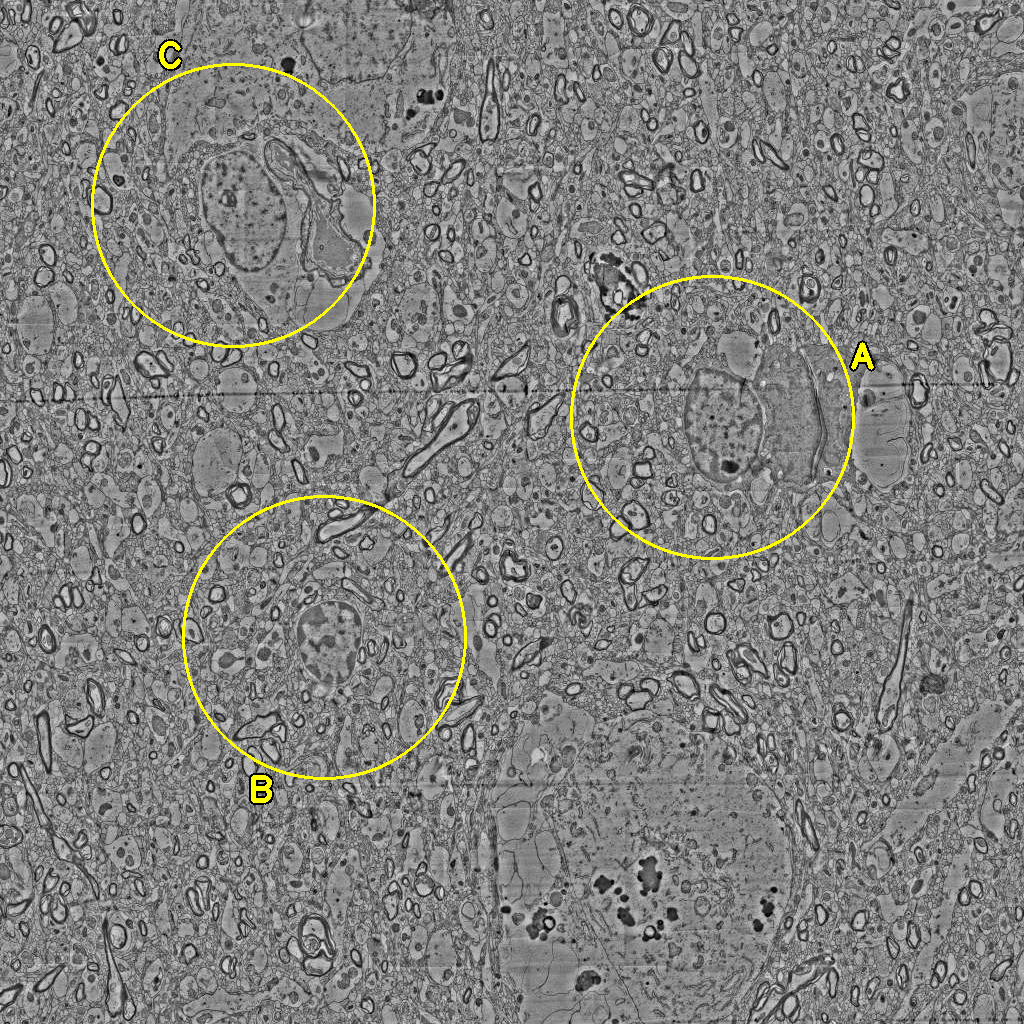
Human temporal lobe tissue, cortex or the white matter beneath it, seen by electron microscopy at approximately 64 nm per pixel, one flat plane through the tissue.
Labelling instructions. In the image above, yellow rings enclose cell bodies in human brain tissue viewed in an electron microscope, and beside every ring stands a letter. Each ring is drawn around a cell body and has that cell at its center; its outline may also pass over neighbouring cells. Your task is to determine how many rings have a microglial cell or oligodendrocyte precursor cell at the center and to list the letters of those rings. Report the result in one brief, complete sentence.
Those rings with the letters B and C, two in all, are each centred on a microglial cell or oligodendrocyte precursor cell.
